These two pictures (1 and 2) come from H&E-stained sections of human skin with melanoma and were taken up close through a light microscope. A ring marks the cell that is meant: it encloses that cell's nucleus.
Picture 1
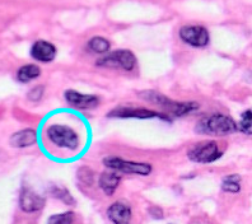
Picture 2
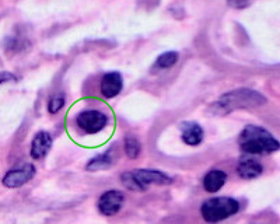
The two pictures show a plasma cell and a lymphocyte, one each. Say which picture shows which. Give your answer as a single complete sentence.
In picture 1 the cell is a lymphocyte; in picture 2, a plasma cell.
